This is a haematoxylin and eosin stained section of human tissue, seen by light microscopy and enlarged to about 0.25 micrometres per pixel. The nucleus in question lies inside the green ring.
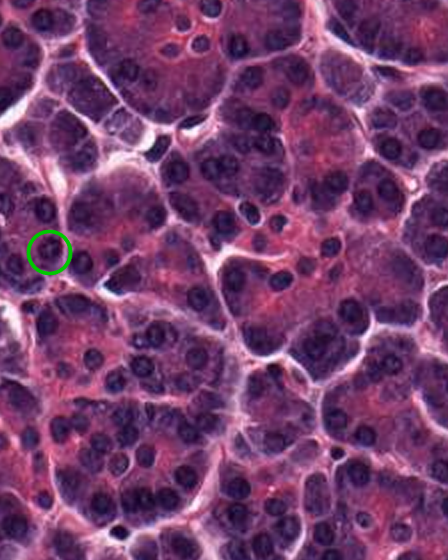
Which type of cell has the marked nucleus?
pancreatic acinar cell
